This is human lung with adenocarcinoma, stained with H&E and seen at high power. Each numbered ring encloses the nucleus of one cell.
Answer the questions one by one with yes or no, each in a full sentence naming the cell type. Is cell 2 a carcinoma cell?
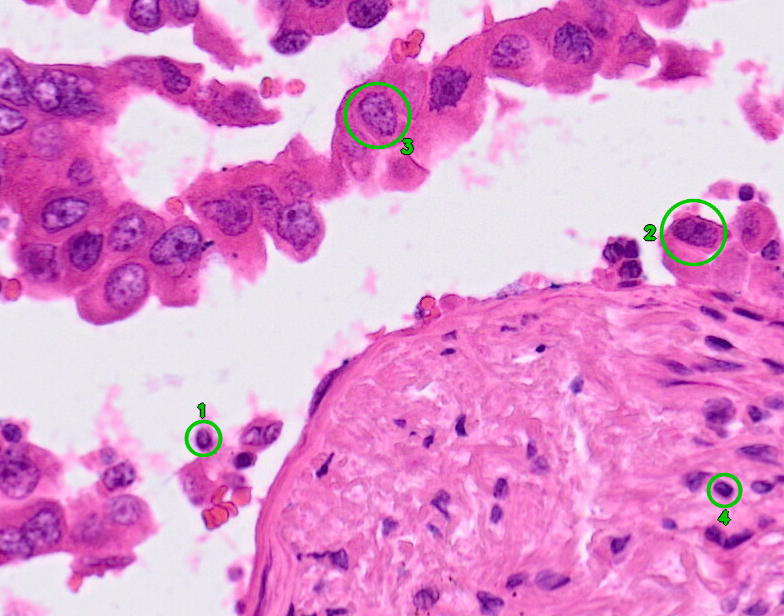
Yes, the cell referred to as number 2 is a carcinoma cell.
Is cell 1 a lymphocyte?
Yes, within this section, cell number 1 is a lymphocyte.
